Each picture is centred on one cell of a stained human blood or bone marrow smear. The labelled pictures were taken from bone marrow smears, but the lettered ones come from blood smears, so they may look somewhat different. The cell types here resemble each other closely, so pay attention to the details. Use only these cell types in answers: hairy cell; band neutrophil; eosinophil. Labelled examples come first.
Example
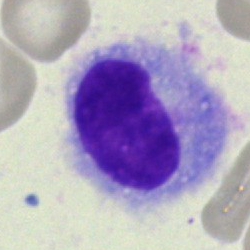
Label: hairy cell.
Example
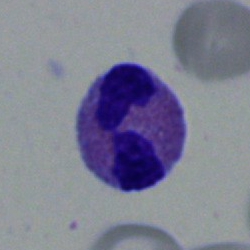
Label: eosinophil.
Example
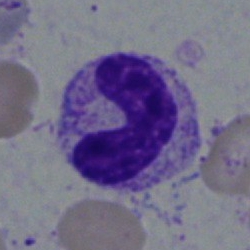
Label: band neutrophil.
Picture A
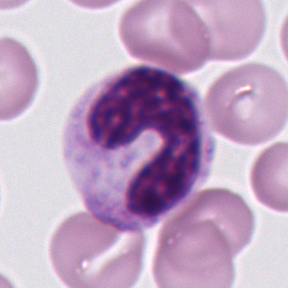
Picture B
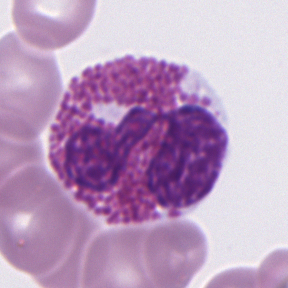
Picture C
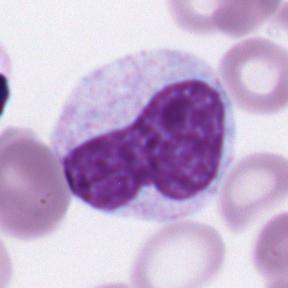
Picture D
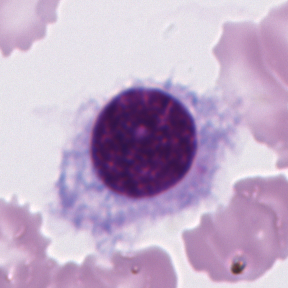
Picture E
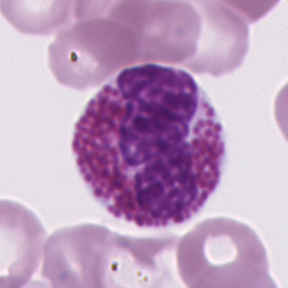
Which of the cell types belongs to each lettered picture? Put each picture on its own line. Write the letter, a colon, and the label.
A: band neutrophil.
B: eosinophil.
C: band neutrophil.
D: hairy cell.
E: eosinophil.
